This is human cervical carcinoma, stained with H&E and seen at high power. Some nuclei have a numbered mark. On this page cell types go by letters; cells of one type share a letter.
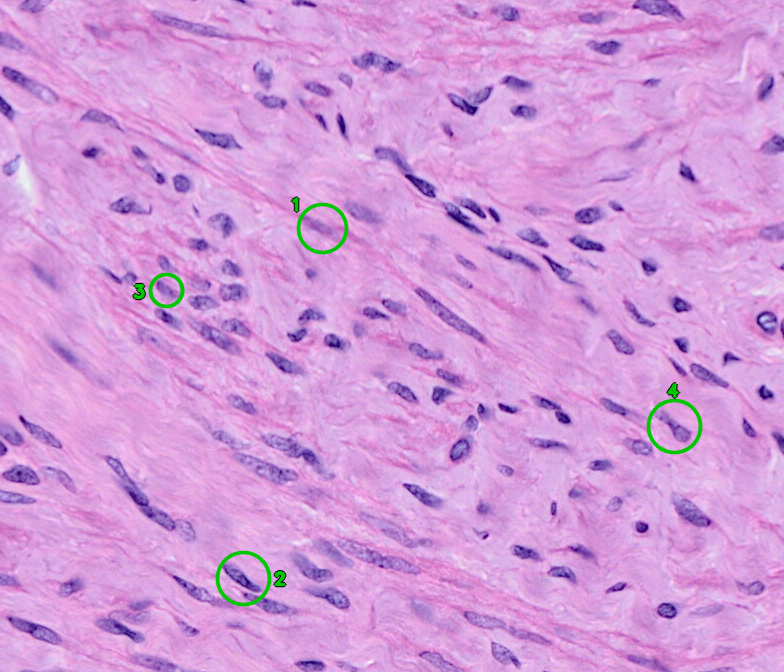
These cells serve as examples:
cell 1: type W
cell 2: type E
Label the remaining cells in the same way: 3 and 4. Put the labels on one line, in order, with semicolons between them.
type W; type E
